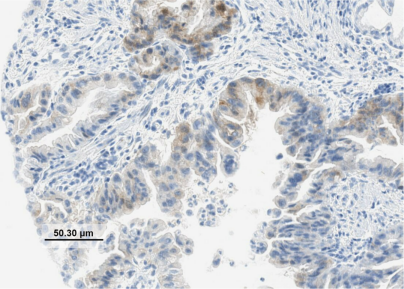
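This is glandular adenocarcinoma tissue in which tumor cells line irregular gland-like spaces separated by loose stroma. The epithelial cells are tall and columnar, with elongated, blue-stained nuclei crowded at different heights. Light brown staining lies in the cytoplasm of many of the lining cells, while their nuclei stay blue. A few groups of gland cells at the top of the field are stained a deeper brown. The stromal cells between the glands are spindle-shaped and unstained.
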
